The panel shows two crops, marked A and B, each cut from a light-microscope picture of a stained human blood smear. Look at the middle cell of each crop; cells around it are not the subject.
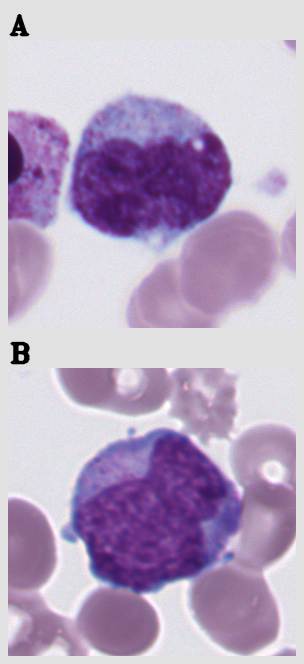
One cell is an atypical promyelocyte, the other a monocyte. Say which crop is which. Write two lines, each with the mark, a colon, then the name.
A: monocyte
B: atypical promyelocyte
